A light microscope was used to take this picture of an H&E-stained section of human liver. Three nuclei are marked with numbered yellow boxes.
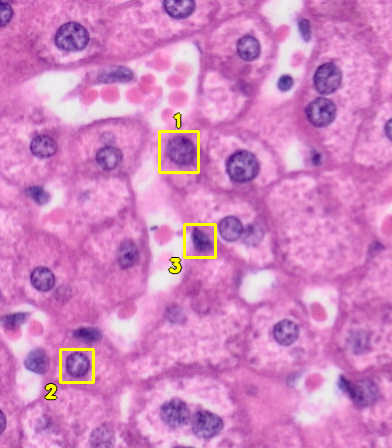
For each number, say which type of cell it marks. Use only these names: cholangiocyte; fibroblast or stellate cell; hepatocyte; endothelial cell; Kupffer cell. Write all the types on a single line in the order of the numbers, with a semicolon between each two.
hepatocyte; hepatocyte; fibroblast or stellate cell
